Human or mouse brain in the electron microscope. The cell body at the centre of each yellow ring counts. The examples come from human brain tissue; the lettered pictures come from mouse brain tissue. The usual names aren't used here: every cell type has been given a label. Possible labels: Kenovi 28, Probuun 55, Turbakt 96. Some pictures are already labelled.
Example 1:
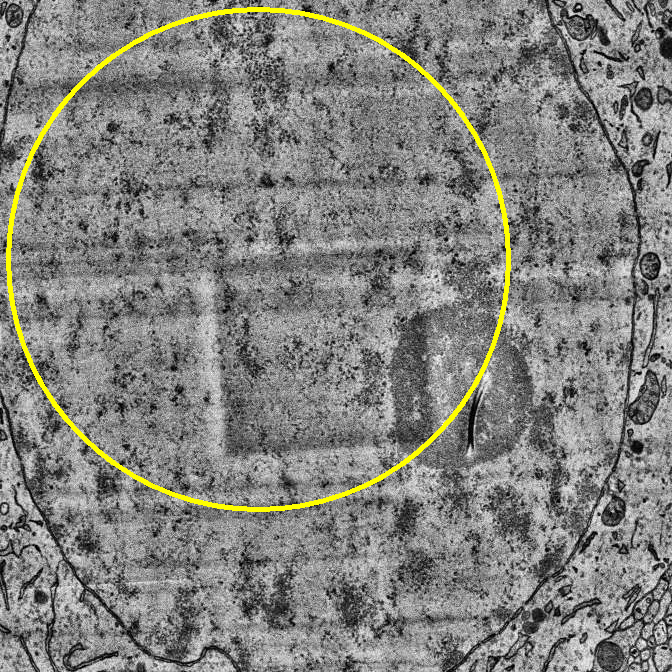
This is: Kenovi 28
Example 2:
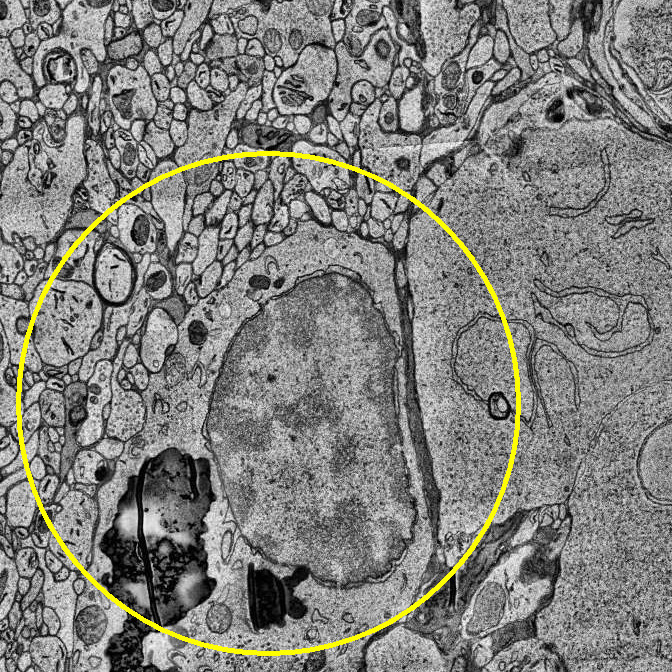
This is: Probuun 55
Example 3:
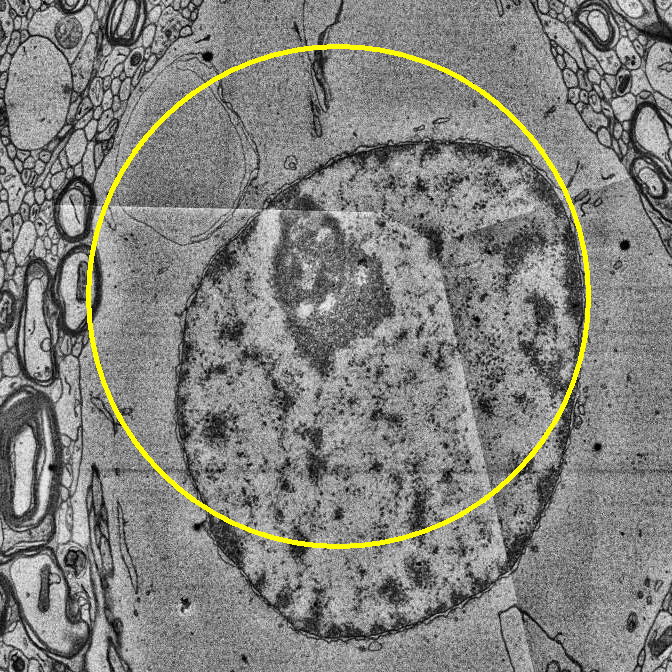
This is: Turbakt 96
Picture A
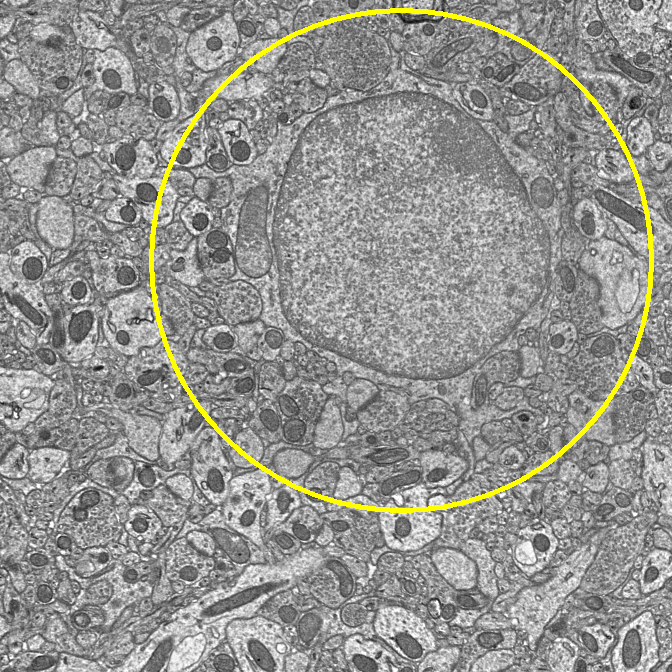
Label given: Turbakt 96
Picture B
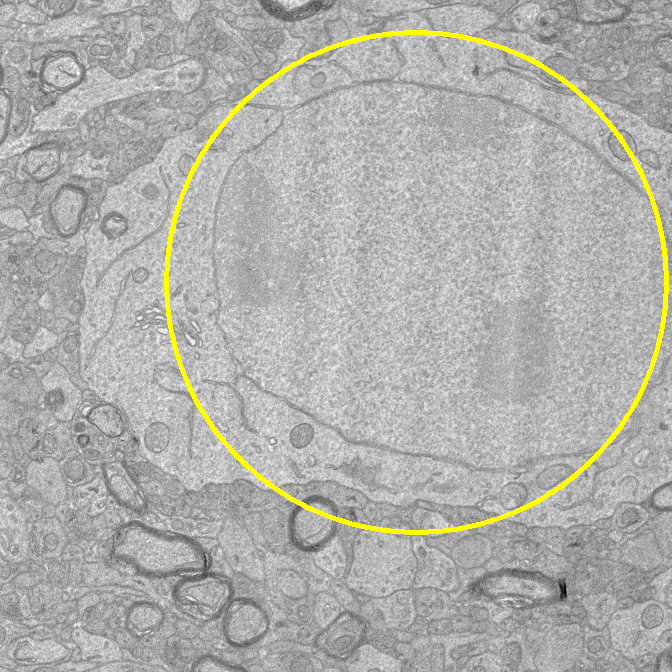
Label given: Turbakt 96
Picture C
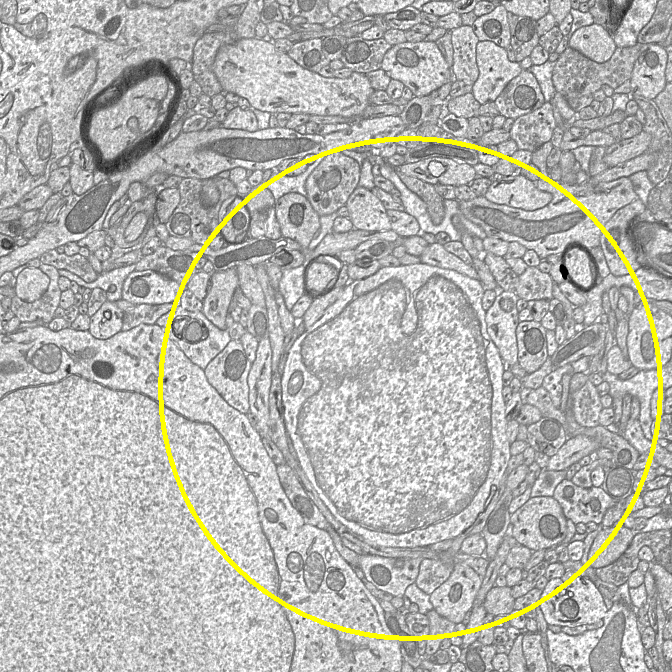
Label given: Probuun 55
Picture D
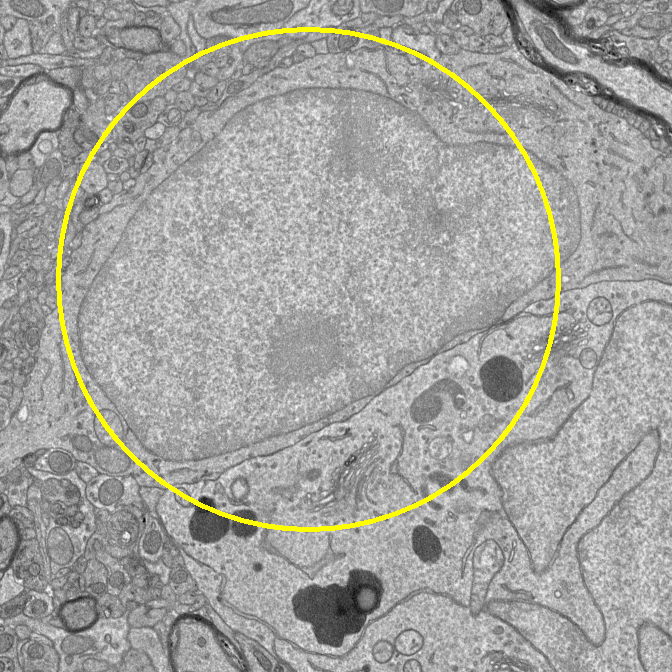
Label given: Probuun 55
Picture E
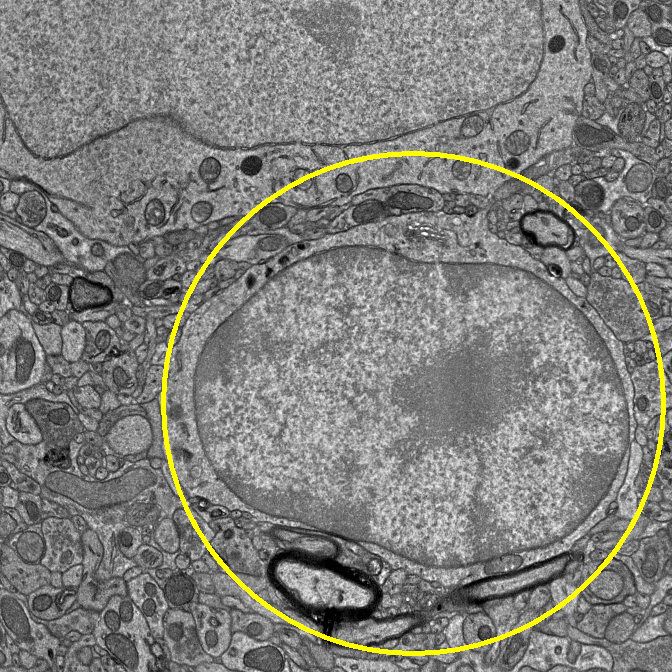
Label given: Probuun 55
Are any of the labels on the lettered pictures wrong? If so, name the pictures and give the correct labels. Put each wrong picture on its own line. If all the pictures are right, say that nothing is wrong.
Wrong: B (Turbakt 96); correct: Kenovi 28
